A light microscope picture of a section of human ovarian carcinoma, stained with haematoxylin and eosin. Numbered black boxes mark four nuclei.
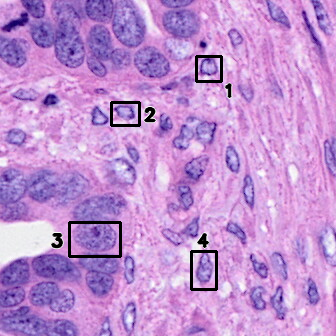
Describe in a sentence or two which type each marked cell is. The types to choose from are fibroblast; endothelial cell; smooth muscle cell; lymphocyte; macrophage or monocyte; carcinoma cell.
Cell 1 is a fibroblast, cell 2 is a fibroblast, cell 3 is a carcinoma cell and cell 4 is a fibroblast.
